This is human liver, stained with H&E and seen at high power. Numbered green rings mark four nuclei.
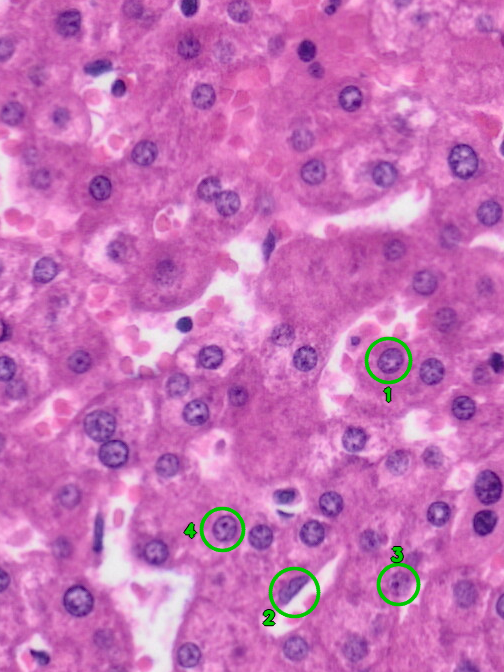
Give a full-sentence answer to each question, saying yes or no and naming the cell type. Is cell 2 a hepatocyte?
No, cell 2 should be classed as a Kupffer cell, not as a hepatocyte.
